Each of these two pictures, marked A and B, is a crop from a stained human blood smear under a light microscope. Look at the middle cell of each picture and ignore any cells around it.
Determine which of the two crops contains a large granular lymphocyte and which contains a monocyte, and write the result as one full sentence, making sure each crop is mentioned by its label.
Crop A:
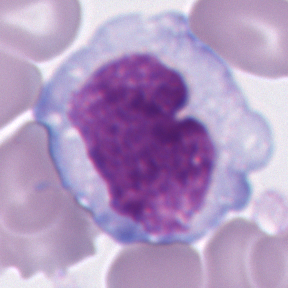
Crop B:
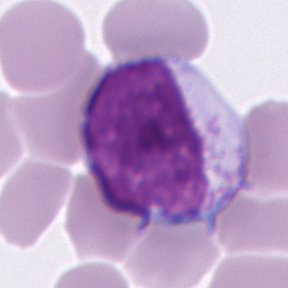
In crop A the cell is a monocyte, while in crop B it is a large granular lymphocyte.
